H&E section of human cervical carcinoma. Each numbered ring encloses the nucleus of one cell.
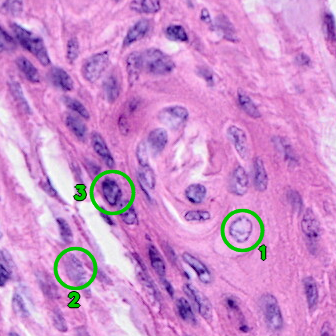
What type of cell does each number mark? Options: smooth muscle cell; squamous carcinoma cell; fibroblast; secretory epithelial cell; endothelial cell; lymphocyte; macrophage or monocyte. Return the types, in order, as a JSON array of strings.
["squamous carcinoma cell", "fibroblast", "squamous carcinoma cell"]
